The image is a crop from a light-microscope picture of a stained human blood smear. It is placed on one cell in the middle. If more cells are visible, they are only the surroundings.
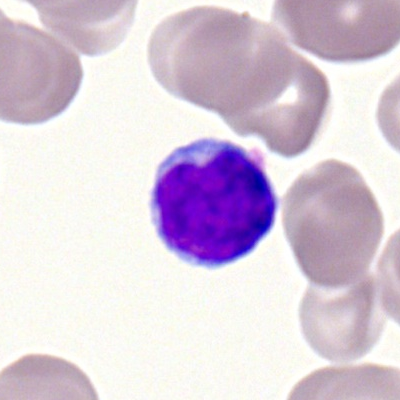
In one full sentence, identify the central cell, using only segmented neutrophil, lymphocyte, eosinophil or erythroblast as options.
Here the cell in the middle is a lymphocyte.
